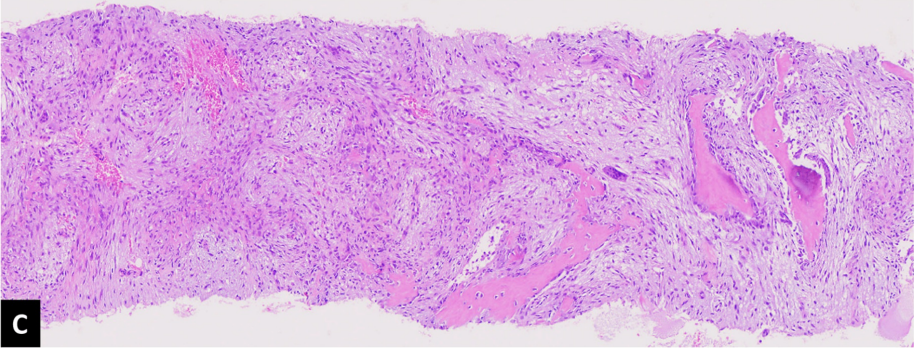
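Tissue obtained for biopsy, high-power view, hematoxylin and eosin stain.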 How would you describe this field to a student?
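This is a densely cellular lesion composed of plump spindle-shaped fibroblastic cells arranged in short, intersecting fascicles. The cells have elongated to oval purple nuclei and pale pink cytoplasm, set in a loose, pale stroma. Small collections of red blood cells lie within the left part of the field. Toward the middle and right, irregular homogeneous pink trabeculae of osteoid are present, some containing small cells in lacunae. Spindle cells surround the trabeculae, and one small dark purple focus lies at the edge of a trabecula.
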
